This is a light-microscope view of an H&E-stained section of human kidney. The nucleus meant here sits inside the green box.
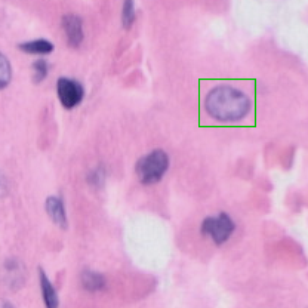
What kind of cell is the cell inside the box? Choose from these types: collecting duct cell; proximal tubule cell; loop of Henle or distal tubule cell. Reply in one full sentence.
Within the stained tissue, the cell inside the box is a proximal tubule cell.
